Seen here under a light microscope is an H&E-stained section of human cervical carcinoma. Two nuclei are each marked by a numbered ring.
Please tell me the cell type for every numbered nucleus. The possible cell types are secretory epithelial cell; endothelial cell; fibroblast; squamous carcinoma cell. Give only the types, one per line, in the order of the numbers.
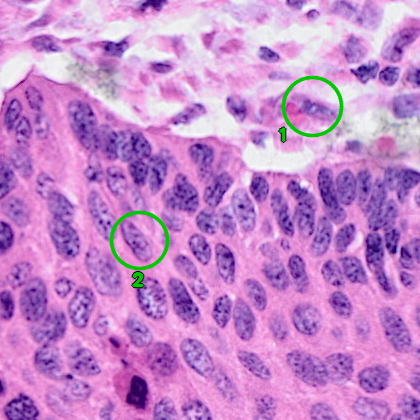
endothelial cell
squamous carcinoma cell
